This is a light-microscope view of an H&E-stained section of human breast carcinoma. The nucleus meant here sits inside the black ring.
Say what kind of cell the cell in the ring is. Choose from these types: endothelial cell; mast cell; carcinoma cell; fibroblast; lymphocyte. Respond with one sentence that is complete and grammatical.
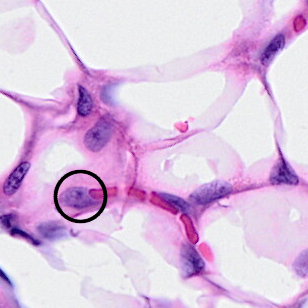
Within this tissue, the cell in the ring is an endothelial cell.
